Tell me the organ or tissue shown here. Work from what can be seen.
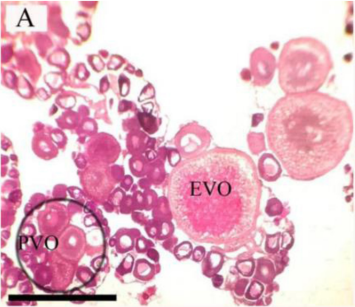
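Ovary. Many round cells of widely different sizes packed loosely together. Small cells stain deep purple with a central round nucleus. Larger round cells have pale pink cytoplasm surrounded by a thin envelope.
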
